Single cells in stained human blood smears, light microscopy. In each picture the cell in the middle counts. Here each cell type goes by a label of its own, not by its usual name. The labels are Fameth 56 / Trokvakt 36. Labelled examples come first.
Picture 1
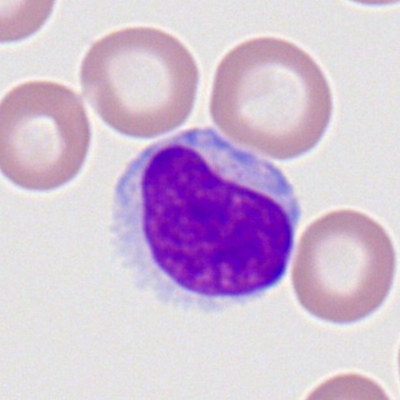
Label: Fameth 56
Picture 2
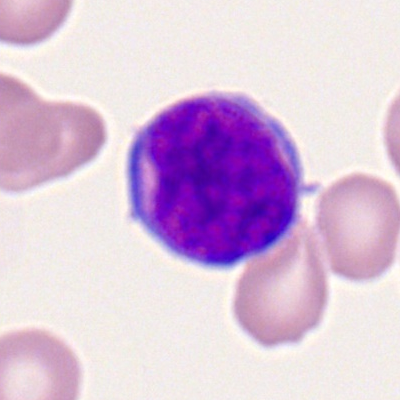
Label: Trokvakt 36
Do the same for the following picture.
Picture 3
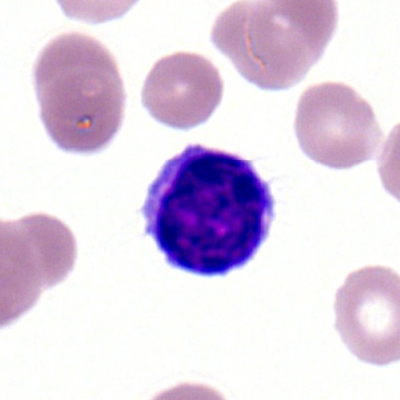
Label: Fameth 56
